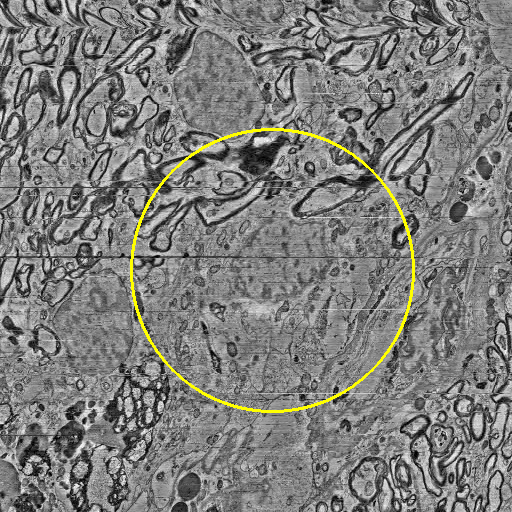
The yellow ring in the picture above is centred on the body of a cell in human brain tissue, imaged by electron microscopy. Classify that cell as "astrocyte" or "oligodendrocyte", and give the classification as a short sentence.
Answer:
The cell in the middle of the ring is an astrocyte.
